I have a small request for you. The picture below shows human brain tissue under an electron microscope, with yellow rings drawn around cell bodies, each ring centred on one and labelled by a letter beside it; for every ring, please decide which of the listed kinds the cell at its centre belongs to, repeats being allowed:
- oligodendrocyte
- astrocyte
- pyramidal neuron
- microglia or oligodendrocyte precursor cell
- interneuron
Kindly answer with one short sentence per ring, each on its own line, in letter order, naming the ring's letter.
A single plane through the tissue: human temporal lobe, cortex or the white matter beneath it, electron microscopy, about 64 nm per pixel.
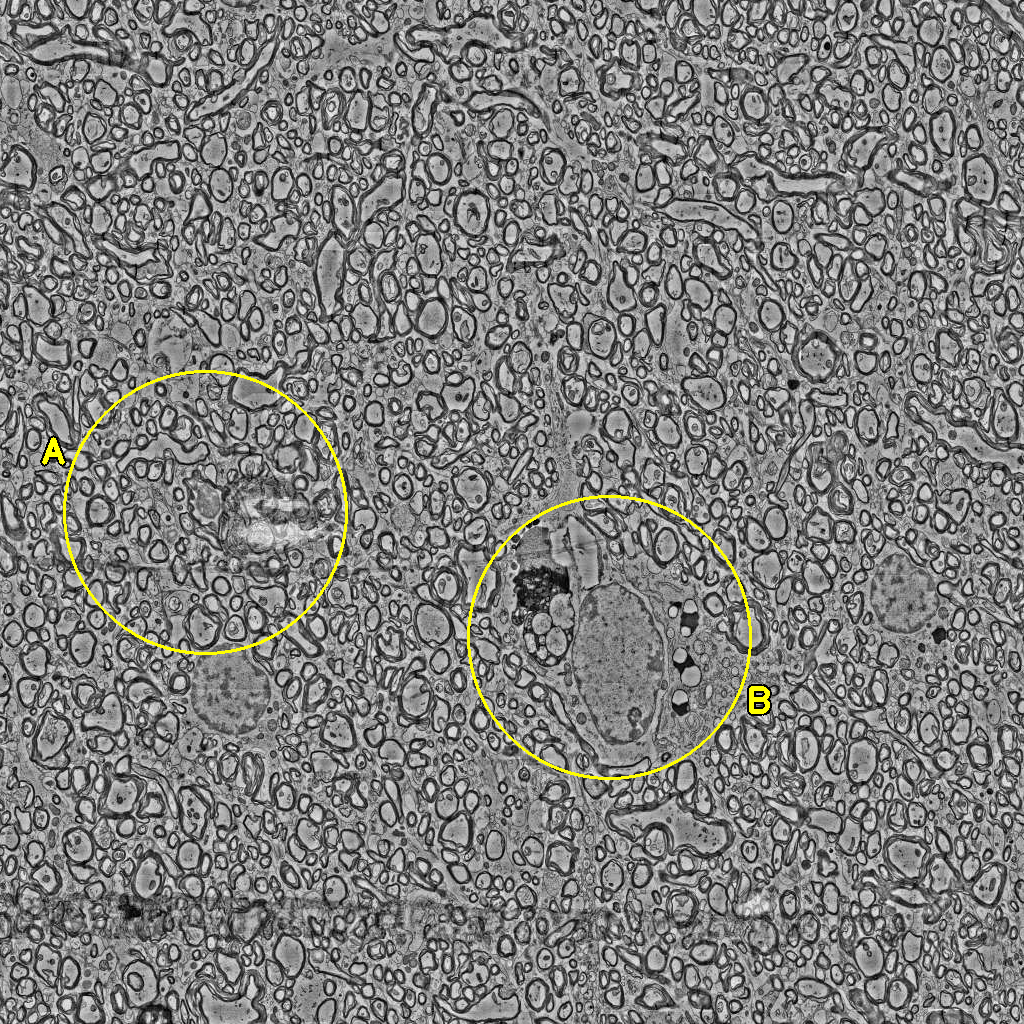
Ring A shows an oligodendrocyte at its centre.
Ring B shows an astrocyte at its centre.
